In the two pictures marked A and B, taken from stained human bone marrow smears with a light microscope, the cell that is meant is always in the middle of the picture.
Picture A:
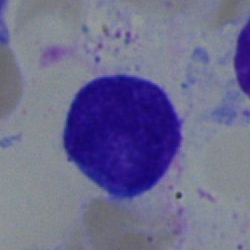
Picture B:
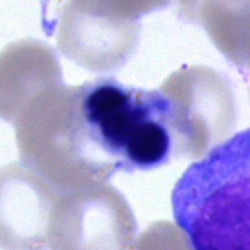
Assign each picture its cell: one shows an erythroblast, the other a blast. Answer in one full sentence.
Picture B shows an erythroblast, while picture A shows a blast.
